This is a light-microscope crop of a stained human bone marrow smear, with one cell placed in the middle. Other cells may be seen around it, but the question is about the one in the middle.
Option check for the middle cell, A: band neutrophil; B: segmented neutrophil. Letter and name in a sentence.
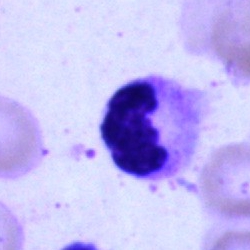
The cell at the heart of the crop is a segmented neutrophil, so choose option B.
